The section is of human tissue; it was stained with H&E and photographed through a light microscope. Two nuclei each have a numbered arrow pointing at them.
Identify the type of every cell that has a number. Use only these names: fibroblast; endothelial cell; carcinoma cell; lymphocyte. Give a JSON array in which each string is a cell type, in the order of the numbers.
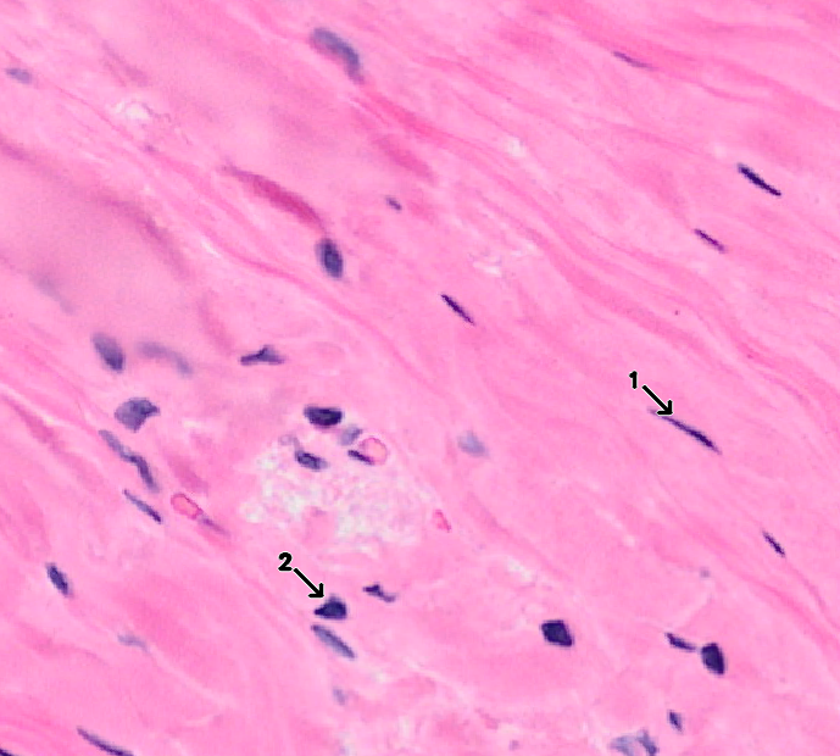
["fibroblast", "lymphocyte"]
